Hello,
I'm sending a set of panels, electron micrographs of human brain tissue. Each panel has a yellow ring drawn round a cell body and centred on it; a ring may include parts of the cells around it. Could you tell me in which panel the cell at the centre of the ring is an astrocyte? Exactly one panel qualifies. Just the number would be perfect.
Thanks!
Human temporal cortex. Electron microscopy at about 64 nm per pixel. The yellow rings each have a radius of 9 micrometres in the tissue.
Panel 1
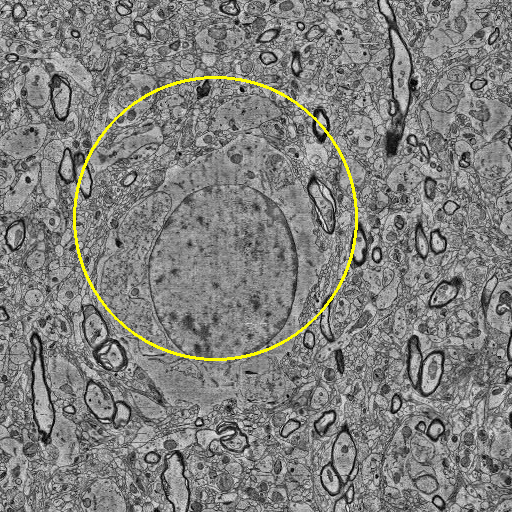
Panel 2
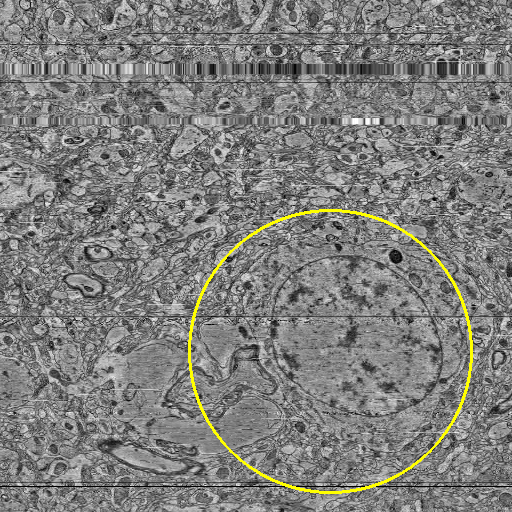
1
